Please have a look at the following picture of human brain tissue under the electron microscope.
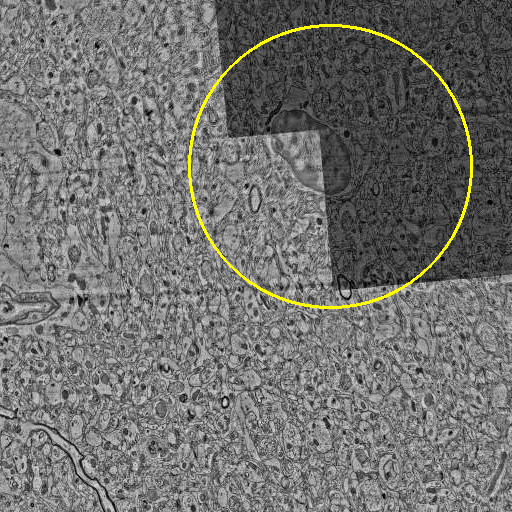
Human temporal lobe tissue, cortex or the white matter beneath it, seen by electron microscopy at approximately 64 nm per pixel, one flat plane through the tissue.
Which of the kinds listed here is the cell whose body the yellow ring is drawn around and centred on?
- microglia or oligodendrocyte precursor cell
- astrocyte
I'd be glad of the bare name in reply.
microglia or oligodendrocyte precursor cell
